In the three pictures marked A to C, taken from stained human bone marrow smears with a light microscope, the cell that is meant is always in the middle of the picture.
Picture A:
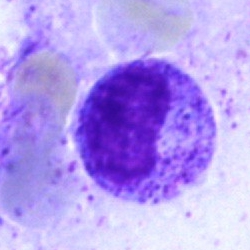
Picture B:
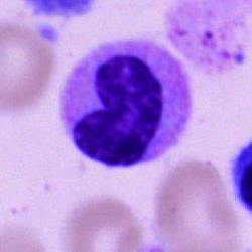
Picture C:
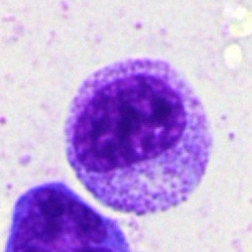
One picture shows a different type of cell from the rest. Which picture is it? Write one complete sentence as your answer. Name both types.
The others show metamyelocytes, but picture C shows a myelocyte.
